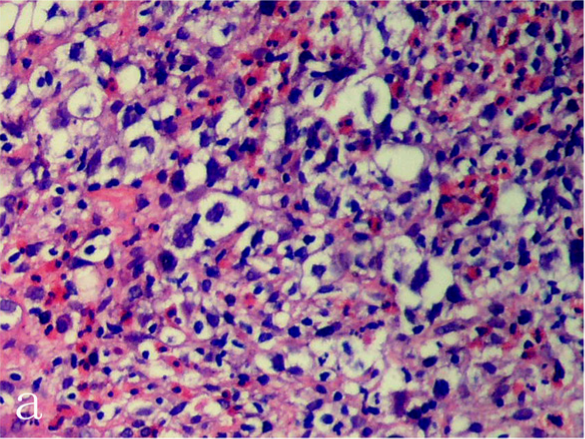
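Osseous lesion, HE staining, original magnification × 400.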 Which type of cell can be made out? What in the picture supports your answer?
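Lacunar cells. Scattered cells sit within clear, empty-looking spaces. Their nuclei lie inside or against the clear halo. Small dark round cells and red-granular cells surround them.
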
